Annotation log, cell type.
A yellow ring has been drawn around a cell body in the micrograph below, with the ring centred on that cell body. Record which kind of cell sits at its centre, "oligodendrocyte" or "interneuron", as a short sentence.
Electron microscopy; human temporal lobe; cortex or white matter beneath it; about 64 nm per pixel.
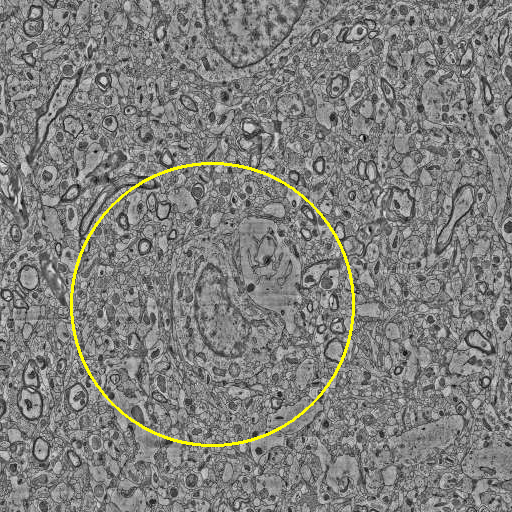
The cell at the centre of this ring is an interneuron.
